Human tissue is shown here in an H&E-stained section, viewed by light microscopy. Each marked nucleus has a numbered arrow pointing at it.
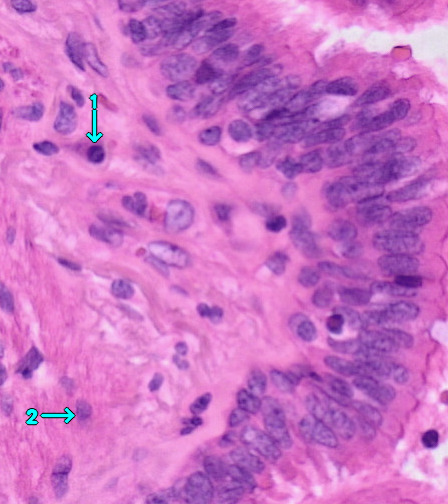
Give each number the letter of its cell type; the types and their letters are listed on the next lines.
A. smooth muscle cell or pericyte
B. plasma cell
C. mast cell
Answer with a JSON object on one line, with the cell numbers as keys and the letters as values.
{"1": "B", "2": "A"}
